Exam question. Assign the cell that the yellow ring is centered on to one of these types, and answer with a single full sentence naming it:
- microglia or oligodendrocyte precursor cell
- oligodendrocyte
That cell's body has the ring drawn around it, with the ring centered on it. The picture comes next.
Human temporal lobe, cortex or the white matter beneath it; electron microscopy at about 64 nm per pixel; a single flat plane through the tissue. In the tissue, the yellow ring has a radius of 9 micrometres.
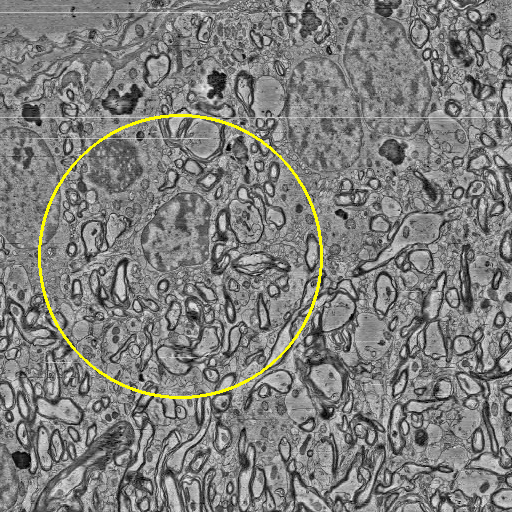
In the micrograph, the cell the yellow ring is centered on is a microglial cell or oligodendrocyte precursor cell.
